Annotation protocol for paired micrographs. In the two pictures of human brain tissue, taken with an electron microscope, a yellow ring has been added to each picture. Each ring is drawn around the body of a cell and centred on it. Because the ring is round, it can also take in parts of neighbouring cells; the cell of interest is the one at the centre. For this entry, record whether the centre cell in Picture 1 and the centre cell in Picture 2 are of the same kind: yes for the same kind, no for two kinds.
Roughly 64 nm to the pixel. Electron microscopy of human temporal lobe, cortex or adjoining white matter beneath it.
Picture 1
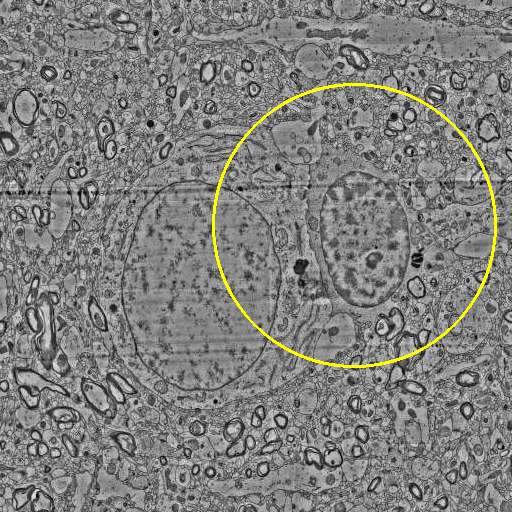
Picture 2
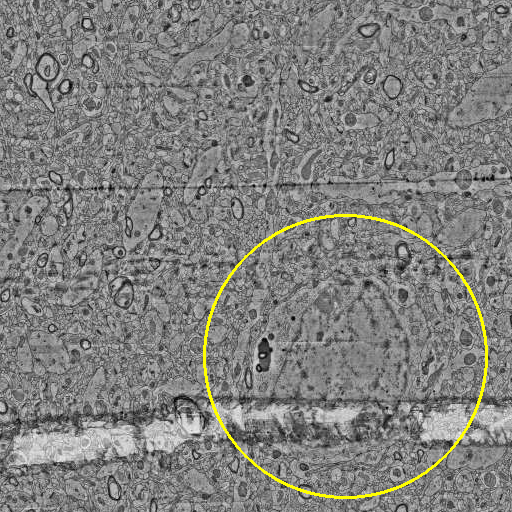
no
